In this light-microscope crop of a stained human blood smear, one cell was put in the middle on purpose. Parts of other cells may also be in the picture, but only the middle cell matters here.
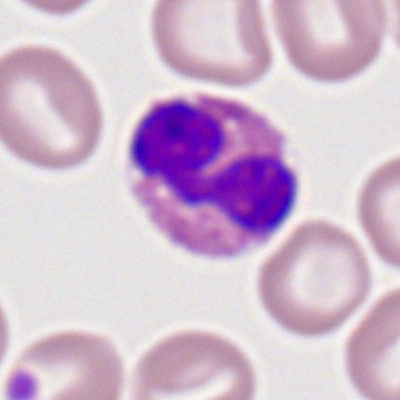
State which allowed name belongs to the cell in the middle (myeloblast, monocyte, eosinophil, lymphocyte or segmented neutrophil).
eosinophil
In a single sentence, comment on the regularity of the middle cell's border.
Nothing juts out from the margin, which is smooth throughout.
